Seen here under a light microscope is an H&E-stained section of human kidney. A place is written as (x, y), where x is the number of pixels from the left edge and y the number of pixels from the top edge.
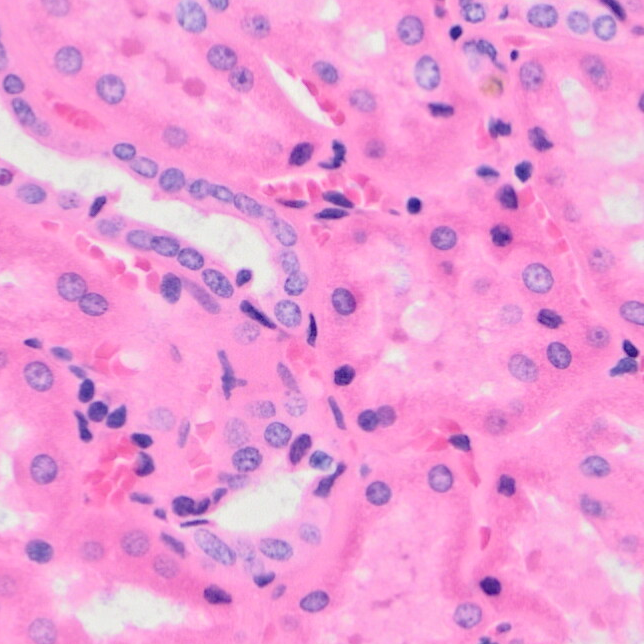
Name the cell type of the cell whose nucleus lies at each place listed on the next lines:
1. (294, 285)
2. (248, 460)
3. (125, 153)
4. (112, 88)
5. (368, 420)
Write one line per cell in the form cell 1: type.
cell 1: collecting duct cell
cell 2: collecting duct cell
cell 3: collecting duct cell
cell 4: proximal tubule cell
cell 5: proximal tubule cell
